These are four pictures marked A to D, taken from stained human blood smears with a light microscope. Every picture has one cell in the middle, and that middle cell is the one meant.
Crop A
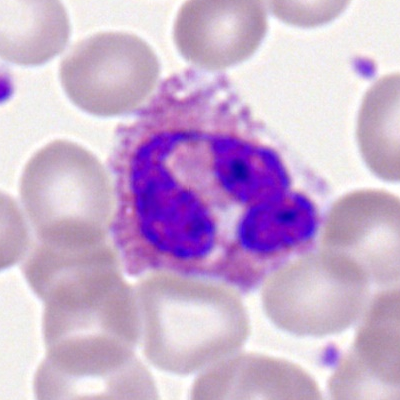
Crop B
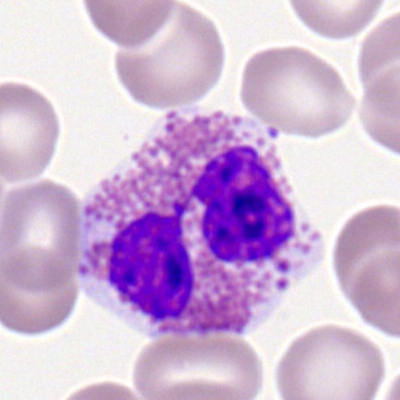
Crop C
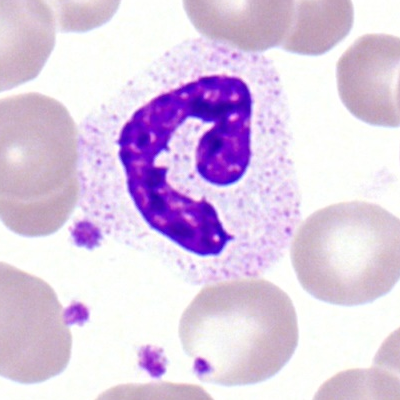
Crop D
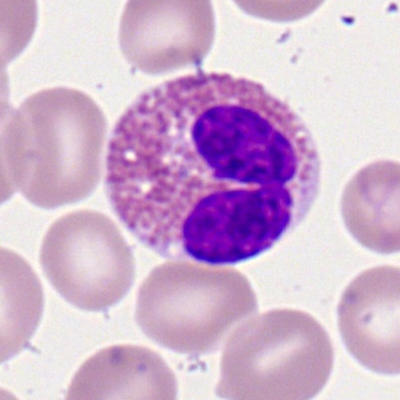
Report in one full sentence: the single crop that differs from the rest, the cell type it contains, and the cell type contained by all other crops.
Crop C is a band neutrophil, while the rest of the set consists of eosinophils.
